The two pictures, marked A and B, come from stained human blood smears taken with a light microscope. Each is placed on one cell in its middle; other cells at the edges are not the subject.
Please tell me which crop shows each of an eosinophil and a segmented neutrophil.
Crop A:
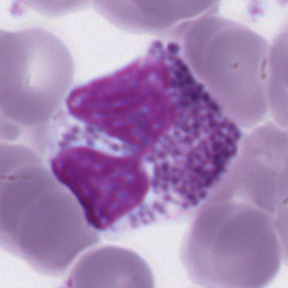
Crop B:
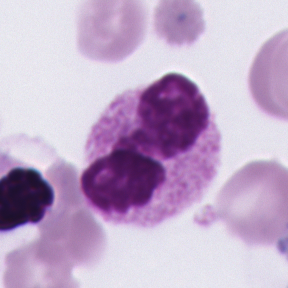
A: eosinophil
B: segmented neutrophil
